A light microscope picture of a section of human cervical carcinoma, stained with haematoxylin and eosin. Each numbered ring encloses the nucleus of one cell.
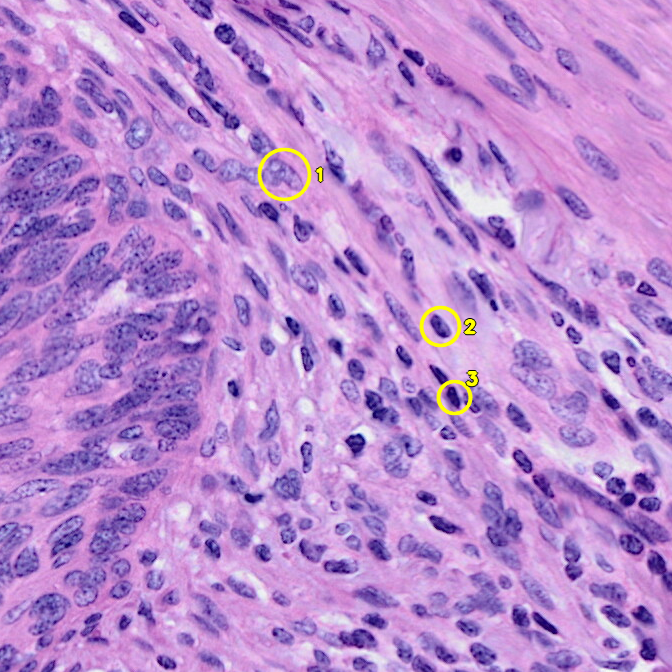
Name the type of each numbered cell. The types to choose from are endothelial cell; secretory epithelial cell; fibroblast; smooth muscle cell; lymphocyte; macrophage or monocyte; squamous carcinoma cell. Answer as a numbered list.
1. endothelial cell
2. lymphocyte
3. lymphocyte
